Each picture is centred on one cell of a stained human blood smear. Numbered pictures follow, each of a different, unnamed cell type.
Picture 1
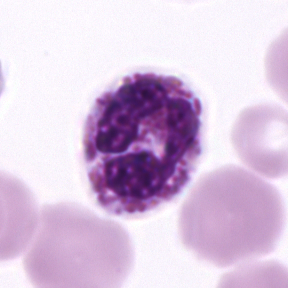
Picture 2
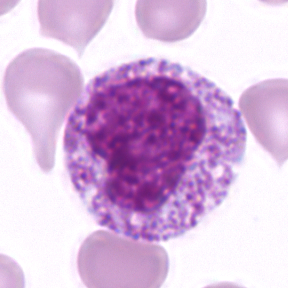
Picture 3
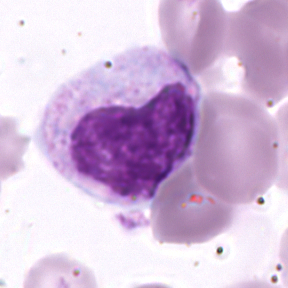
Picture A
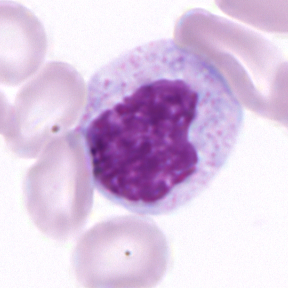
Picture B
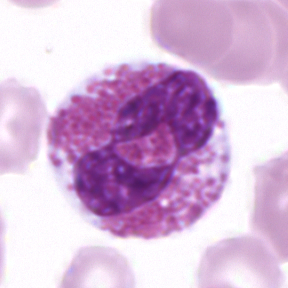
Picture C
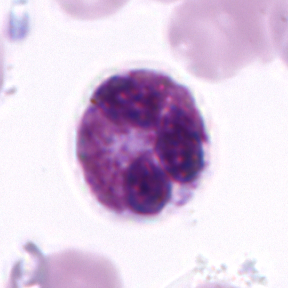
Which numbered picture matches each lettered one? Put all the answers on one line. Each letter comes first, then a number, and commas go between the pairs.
A 3, B 1, C 1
